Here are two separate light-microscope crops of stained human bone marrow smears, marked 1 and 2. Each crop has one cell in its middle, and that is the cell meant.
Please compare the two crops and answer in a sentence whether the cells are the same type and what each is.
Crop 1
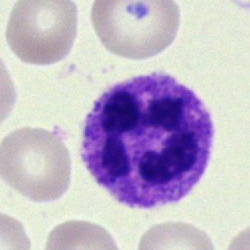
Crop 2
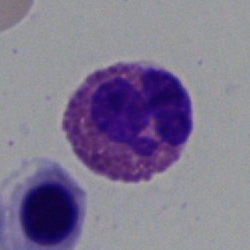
No, the cell in crop 1 is a segmented neutrophil and the one in crop 2 is an eosinophil.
